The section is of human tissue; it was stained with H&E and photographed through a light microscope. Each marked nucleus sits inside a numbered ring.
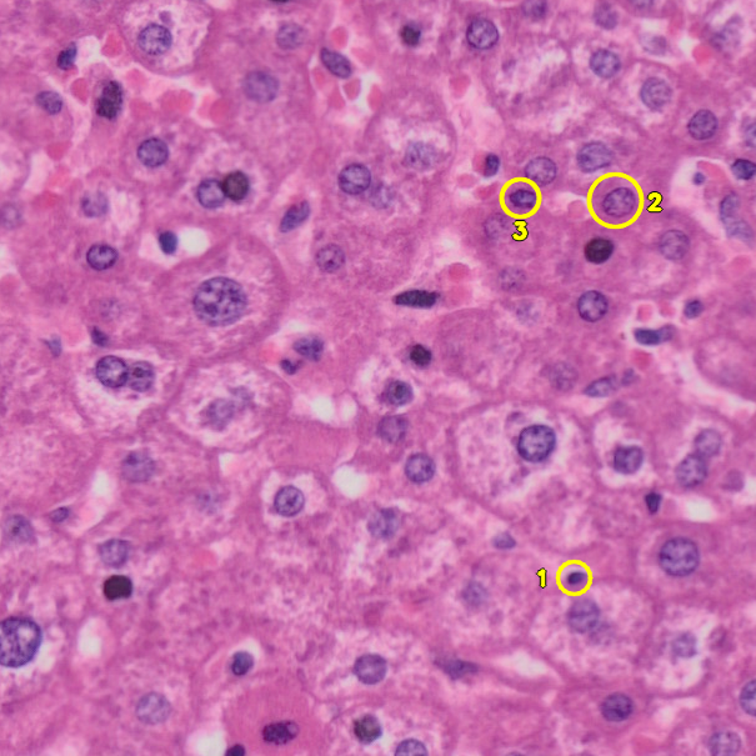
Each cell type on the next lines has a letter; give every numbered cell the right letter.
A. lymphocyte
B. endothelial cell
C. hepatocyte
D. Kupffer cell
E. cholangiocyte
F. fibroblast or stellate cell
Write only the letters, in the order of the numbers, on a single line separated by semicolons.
A; C; F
